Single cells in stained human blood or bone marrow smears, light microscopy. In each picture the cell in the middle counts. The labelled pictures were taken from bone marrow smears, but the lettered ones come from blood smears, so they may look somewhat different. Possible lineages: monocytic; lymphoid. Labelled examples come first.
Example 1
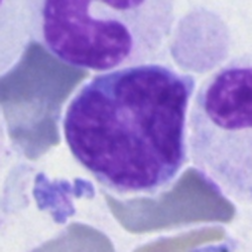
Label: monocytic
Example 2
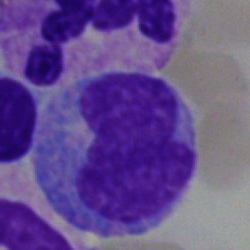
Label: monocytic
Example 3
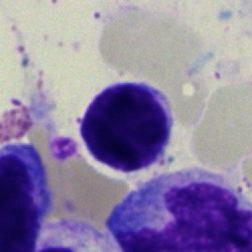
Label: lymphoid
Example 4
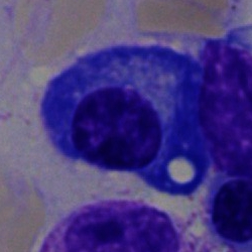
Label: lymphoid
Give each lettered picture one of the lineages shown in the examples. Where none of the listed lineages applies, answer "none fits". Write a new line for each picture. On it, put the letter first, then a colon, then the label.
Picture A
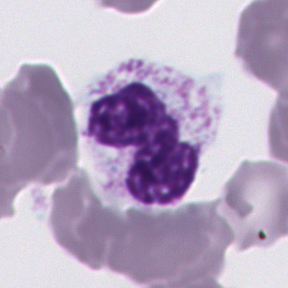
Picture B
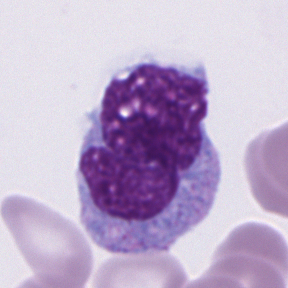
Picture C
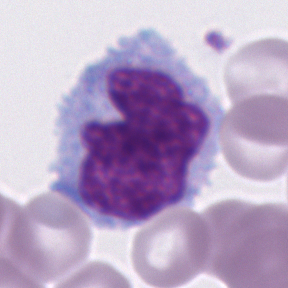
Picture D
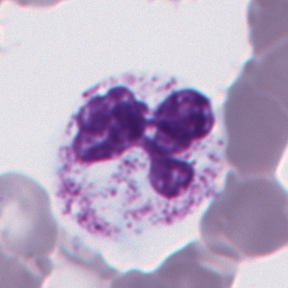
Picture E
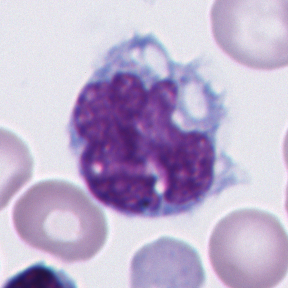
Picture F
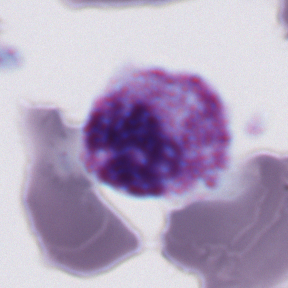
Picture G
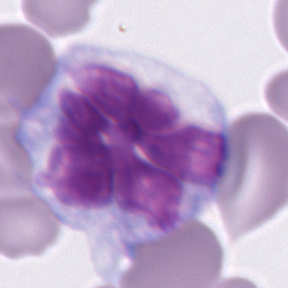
A: none fits
B: monocytic
C: monocytic
D: none fits
E: monocytic
F: none fits
G: monocytic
